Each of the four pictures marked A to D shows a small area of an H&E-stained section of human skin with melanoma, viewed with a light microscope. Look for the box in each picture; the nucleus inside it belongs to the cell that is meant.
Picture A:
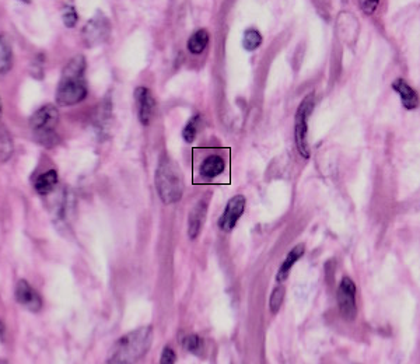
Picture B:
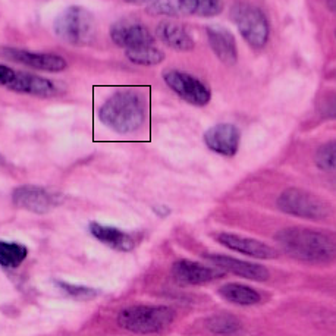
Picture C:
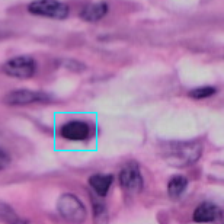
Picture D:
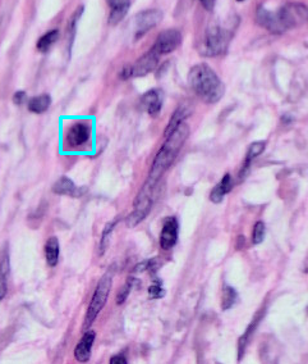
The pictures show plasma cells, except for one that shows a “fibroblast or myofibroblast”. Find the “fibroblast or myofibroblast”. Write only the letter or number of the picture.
B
